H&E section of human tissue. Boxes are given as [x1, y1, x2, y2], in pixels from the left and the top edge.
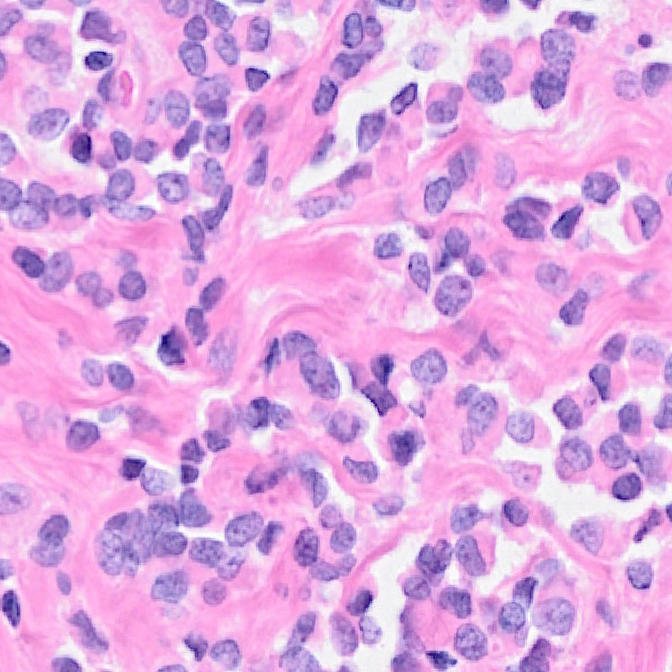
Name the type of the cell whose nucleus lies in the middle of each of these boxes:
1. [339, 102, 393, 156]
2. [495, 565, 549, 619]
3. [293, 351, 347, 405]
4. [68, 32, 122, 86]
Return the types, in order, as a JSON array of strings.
["carcinoma cell", "carcinoma cell", "carcinoma cell", "lymphocyte"]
